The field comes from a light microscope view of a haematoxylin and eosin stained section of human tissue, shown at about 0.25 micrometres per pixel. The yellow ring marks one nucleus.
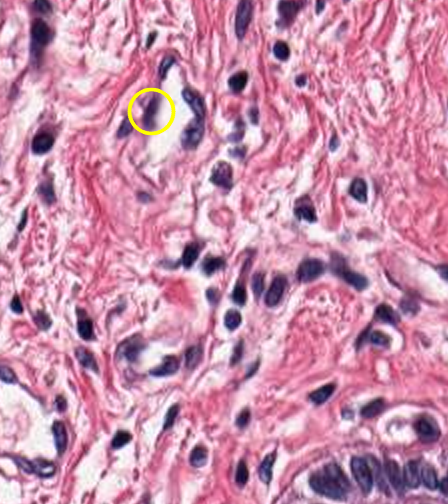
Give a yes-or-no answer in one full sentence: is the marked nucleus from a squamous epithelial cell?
No, the owner of the marked nucleus is a supporting cell, not a squamous epithelial cell.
